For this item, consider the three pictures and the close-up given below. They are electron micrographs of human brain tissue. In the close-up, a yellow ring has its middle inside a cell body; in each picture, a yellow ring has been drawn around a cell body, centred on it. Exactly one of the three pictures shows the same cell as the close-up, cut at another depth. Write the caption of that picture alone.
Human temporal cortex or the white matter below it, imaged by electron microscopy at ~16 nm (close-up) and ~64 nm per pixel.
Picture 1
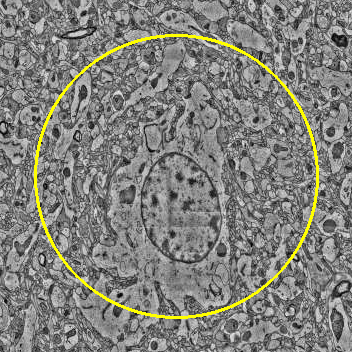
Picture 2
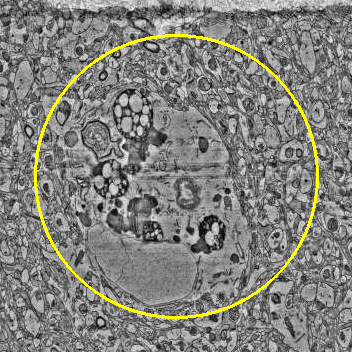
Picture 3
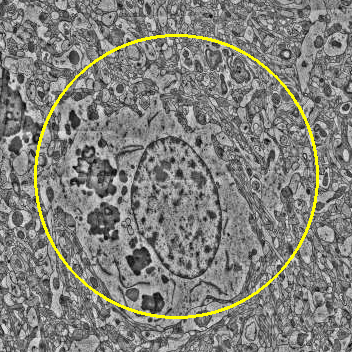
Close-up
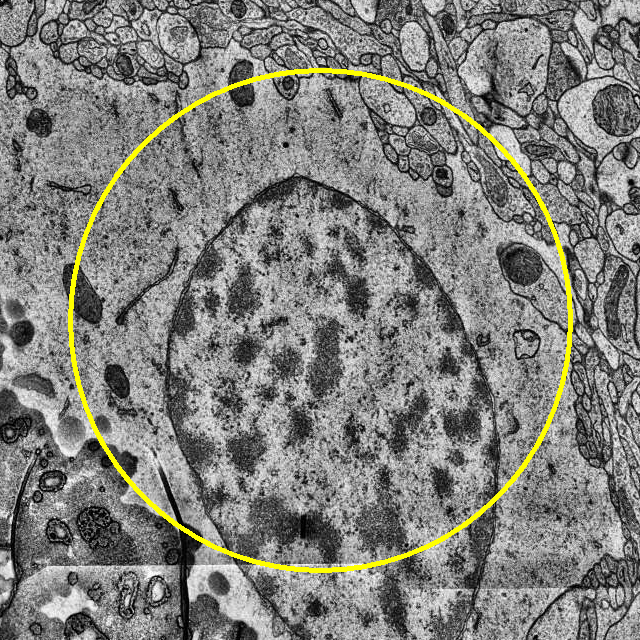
Picture 3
